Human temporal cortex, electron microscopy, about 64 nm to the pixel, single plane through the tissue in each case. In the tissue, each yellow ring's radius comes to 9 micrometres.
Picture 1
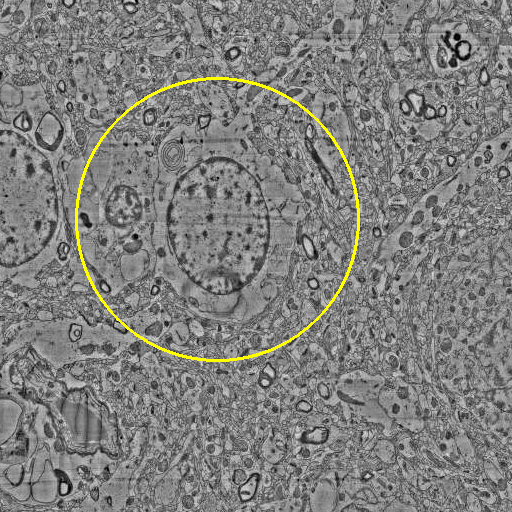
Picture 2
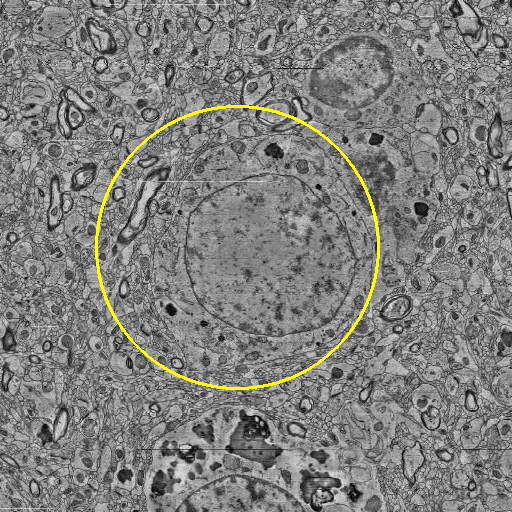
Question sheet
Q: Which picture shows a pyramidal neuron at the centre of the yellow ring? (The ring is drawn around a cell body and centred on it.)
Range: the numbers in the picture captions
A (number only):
2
